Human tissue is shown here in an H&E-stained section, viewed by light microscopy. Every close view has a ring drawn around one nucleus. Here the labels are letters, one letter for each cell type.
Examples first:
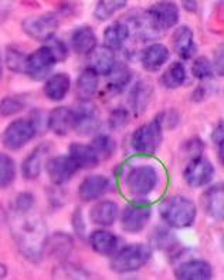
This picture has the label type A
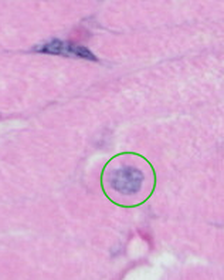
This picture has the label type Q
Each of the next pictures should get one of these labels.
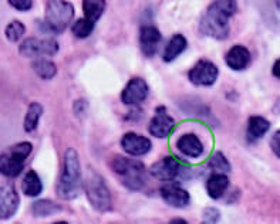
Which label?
type A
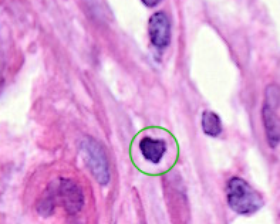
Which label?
type A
